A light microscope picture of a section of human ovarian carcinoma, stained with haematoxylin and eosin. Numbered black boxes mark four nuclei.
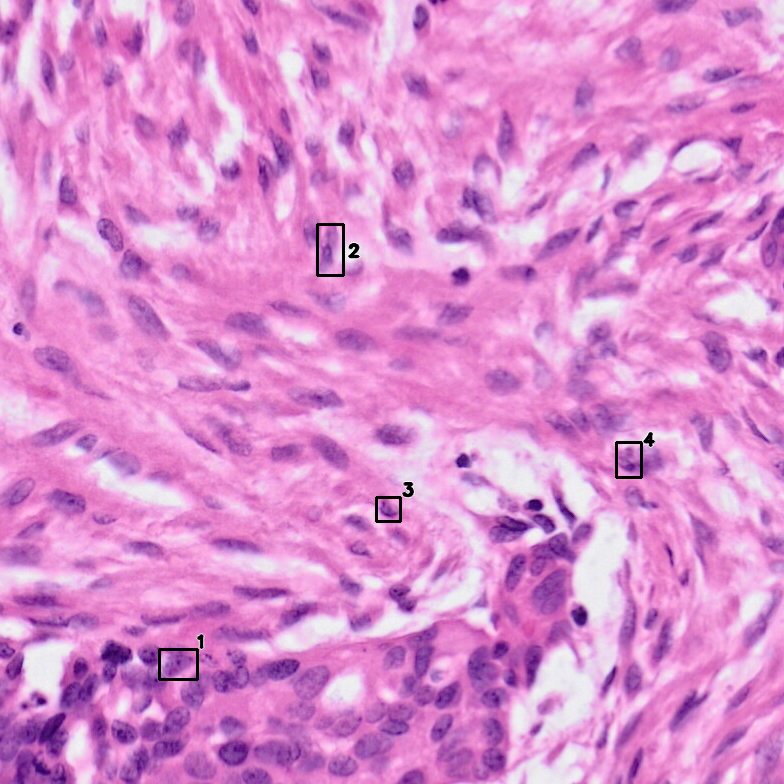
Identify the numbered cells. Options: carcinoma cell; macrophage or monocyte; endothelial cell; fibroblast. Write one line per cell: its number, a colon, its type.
1: carcinoma cell
2: fibroblast
3: fibroblast
4: fibroblast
